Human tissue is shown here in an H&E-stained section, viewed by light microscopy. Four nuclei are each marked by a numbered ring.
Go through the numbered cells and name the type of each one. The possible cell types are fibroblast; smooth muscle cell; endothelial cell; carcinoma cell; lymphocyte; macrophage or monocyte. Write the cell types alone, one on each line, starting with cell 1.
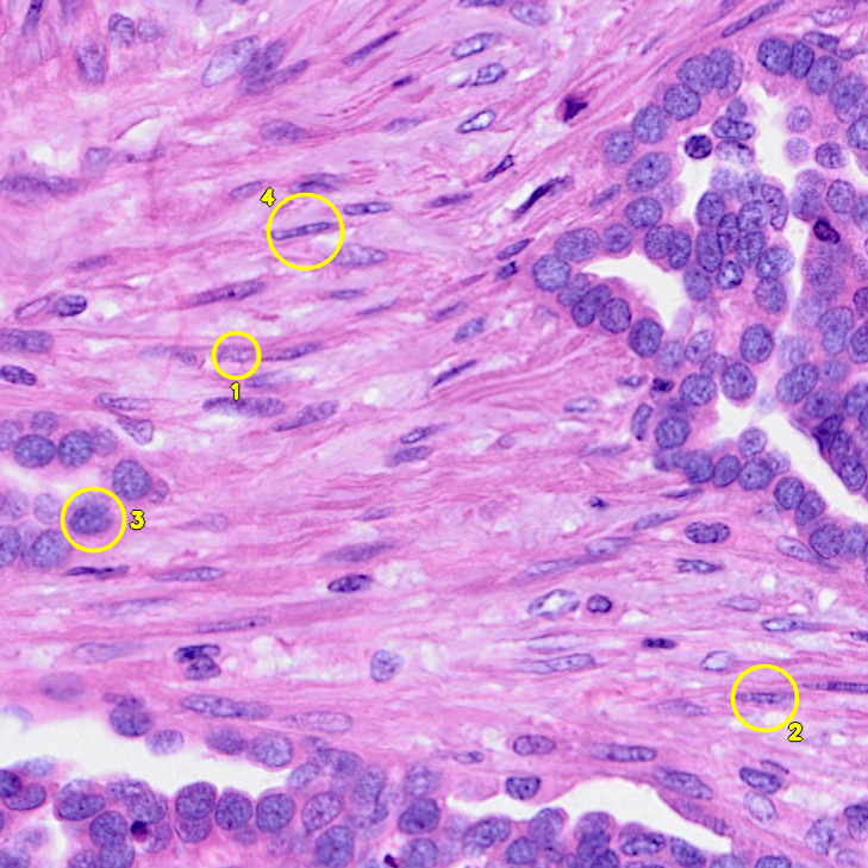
fibroblast
fibroblast
carcinoma cell
fibroblast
